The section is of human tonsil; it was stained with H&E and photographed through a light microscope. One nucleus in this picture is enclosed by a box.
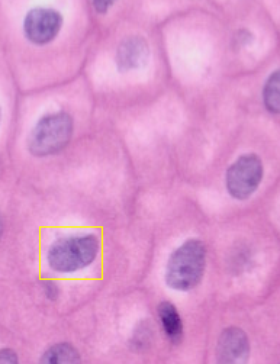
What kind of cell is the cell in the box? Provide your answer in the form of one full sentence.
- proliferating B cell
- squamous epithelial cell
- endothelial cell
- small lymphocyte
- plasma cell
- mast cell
The correct response here is that the cell in the box is a squamous epithelial cell.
